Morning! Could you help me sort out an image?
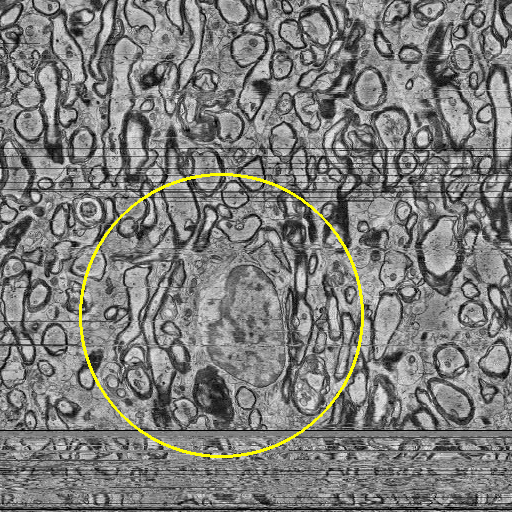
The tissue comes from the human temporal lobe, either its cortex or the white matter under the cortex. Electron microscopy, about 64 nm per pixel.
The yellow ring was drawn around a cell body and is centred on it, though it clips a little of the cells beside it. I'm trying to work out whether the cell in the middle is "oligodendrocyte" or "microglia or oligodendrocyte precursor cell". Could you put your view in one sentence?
The ringed cell body is that of a microglial cell or oligodendrocyte precursor cell.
